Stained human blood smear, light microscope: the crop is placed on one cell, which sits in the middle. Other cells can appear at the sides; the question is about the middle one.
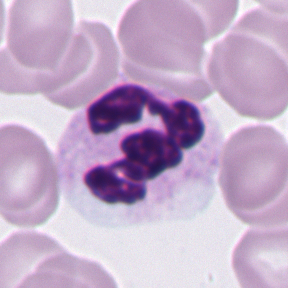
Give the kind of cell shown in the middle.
segmented neutrophil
